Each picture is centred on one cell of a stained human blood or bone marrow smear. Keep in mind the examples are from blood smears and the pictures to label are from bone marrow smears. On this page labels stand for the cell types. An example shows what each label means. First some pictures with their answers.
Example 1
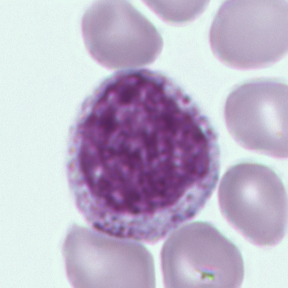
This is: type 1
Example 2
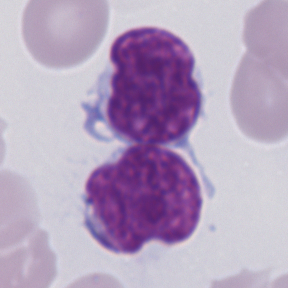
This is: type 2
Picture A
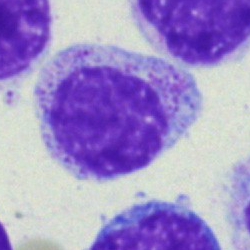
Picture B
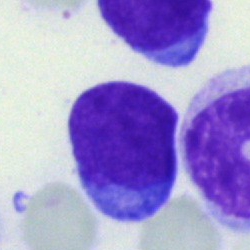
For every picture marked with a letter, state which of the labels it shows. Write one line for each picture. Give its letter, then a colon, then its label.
A: type 1
B: type 2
